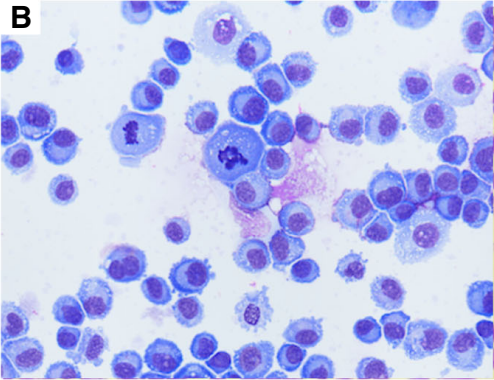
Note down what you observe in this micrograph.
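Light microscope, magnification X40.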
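The remaining cells vary in size, some small and dense, others larger with a paler rim of cytoplasm. Cells lie singly or in loose groups, with faint pink material between some of them.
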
